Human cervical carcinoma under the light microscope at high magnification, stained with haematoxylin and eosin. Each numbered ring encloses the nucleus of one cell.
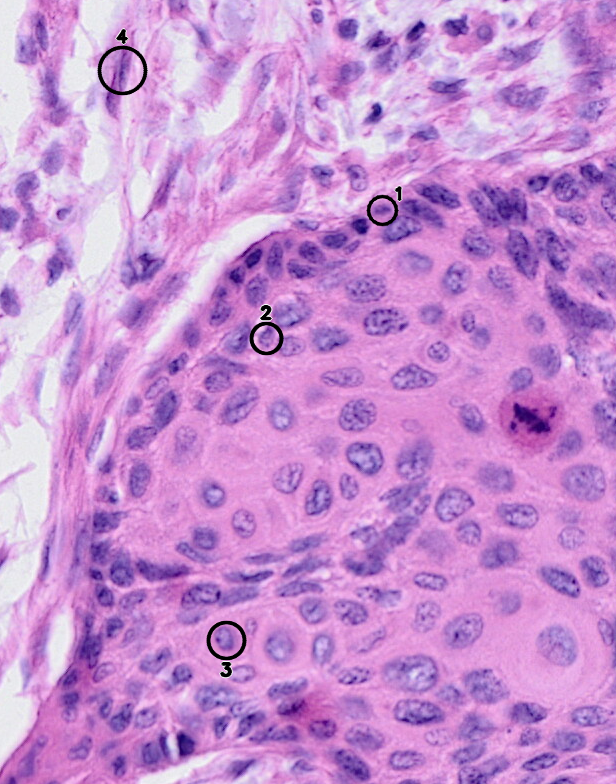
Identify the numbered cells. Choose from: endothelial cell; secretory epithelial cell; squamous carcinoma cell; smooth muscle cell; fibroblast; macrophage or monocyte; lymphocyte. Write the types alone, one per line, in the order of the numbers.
squamous carcinoma cell
squamous carcinoma cell
squamous carcinoma cell
fibroblast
